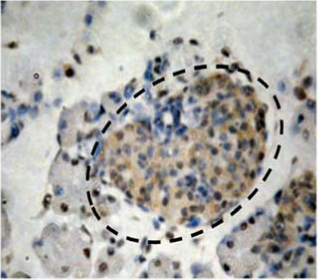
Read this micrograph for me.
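The islet cells are small, closely packed and polygonal, with round nuclei. Many of them carry a brown stain in their nuclei and cytoplasm, while some nuclei appear blue. Scattered brown-stained nuclei are also seen in the tissue around the islet.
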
